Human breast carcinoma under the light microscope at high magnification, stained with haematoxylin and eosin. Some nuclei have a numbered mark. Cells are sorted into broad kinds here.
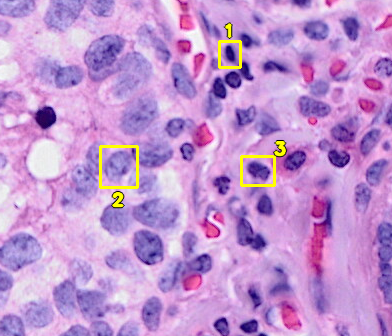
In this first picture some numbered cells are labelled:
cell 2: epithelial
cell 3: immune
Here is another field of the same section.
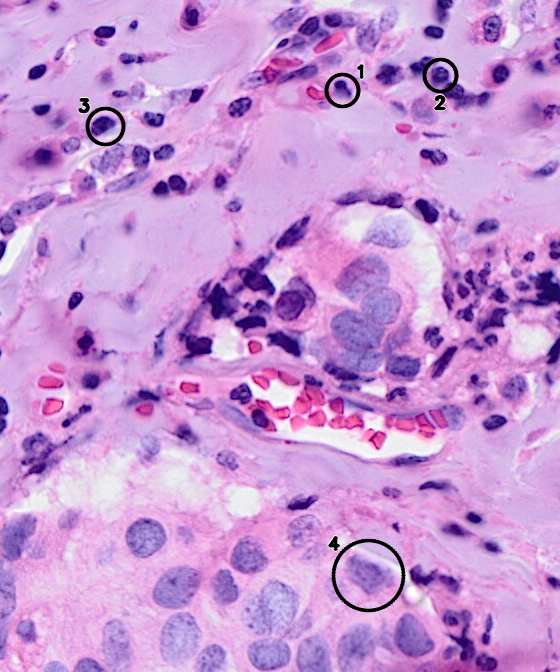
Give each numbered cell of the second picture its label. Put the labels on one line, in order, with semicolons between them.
immune; immune; immune; epithelial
